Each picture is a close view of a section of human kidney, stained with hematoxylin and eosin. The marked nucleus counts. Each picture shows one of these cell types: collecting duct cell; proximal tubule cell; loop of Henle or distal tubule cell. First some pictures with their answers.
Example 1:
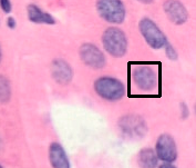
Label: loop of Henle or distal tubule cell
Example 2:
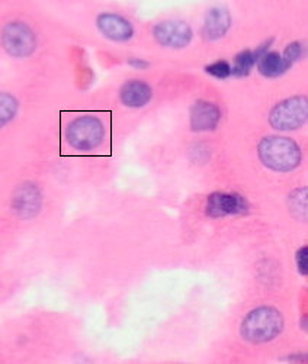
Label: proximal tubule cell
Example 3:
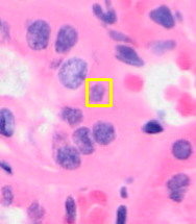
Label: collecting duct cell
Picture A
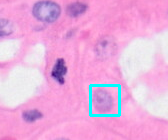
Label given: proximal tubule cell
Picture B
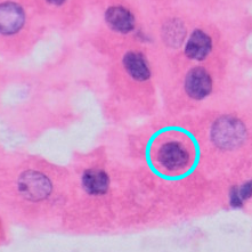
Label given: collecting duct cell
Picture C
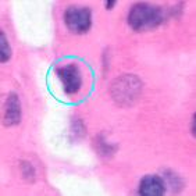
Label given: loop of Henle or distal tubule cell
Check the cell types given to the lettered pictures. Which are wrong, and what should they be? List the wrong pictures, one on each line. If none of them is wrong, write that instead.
B should be proximal tubule cell, not collecting duct cell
